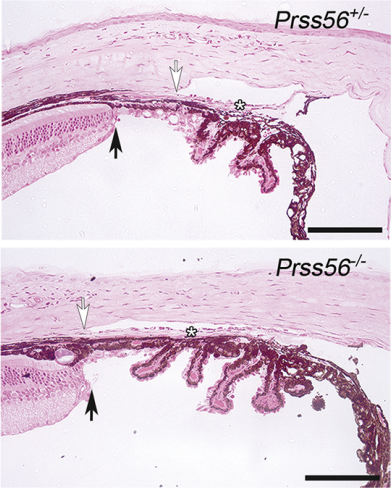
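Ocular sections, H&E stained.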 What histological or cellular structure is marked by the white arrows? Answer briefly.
Schlemm's canal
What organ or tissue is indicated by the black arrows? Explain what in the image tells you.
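The black arrows point to the tapering end of a layered tissue with rows of densely packed nuclei. Beyond this edge lie the folded, heavily pigmented processes. The answer: peripheral retina.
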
